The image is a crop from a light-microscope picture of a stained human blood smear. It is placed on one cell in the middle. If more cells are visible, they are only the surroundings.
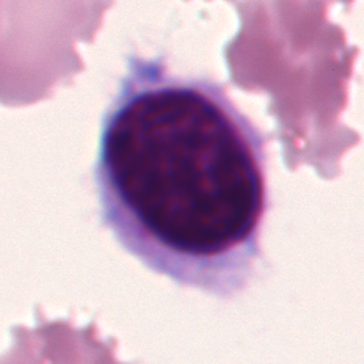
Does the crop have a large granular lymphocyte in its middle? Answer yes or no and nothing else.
no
